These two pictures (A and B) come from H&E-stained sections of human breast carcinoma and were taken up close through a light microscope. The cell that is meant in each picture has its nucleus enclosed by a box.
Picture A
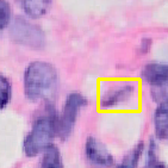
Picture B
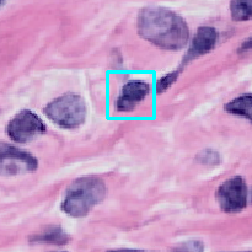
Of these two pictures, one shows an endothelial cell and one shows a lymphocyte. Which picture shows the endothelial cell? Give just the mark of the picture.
A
